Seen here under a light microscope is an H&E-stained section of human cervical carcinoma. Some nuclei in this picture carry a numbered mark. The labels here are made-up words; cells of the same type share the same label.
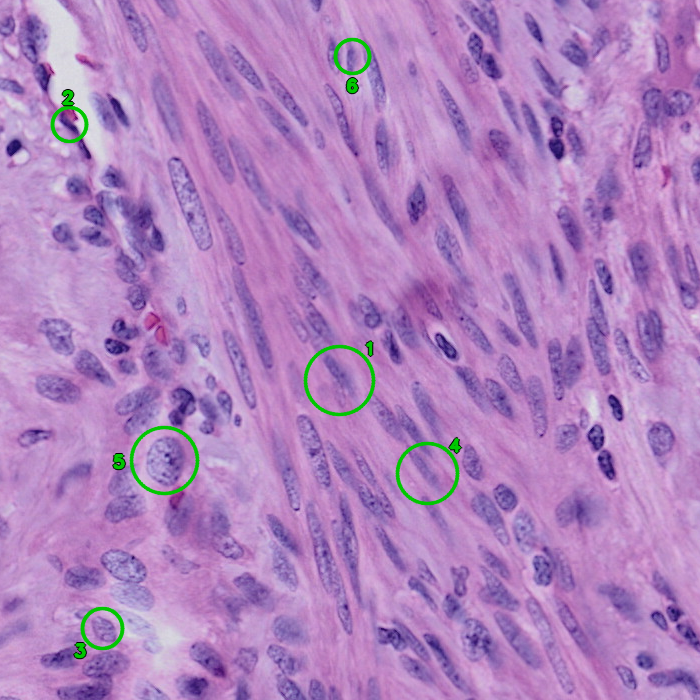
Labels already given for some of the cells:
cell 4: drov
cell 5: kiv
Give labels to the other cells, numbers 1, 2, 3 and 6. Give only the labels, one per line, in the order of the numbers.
drov
kiv
kiv
drov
